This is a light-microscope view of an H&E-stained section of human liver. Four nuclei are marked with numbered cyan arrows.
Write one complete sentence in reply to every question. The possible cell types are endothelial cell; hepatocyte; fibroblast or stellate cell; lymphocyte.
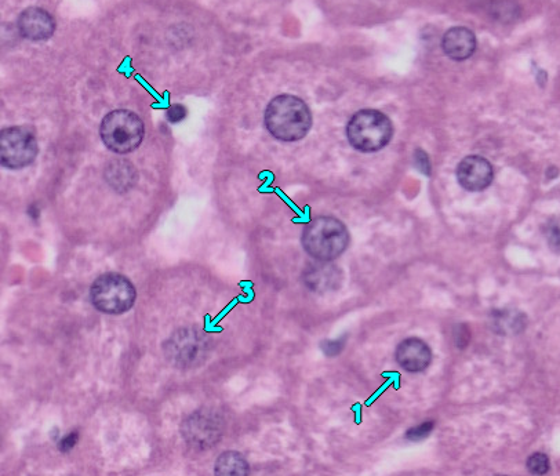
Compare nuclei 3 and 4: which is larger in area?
At about 4 times the area of nucleus 4, nucleus 3 is the larger of the two.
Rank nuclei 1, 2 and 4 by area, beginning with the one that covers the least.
From smallest to largest, the order is 4, 1, 2.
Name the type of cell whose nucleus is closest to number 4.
The nearest nucleus to number 4 belongs to a hepatocyte.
